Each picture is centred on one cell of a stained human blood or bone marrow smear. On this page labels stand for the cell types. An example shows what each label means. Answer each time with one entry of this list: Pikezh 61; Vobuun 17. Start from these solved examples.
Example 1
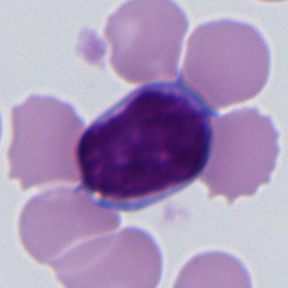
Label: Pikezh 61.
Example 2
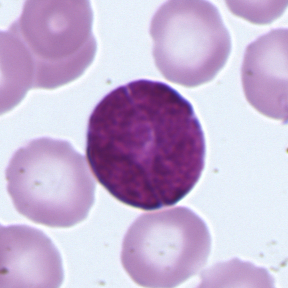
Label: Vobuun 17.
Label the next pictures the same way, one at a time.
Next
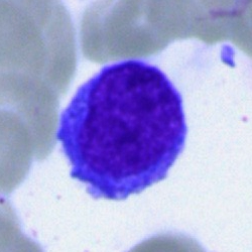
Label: Vobuun 17.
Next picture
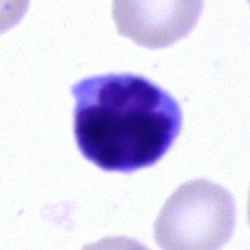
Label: Pikezh 61.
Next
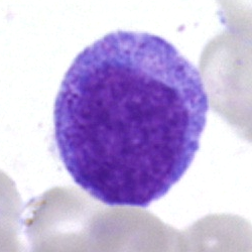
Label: Vobuun 17.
